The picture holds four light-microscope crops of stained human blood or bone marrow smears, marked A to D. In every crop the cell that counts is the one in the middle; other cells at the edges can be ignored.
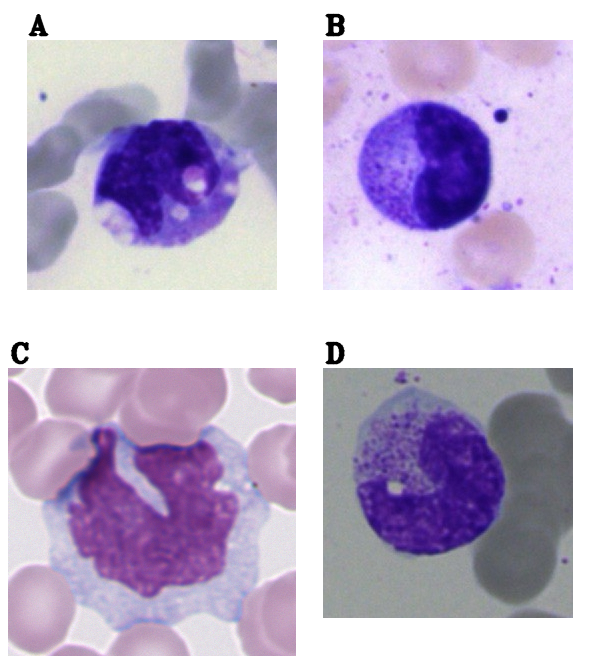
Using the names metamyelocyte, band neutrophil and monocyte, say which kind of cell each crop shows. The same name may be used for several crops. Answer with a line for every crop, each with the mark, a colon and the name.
A: monocyte
B: metamyelocyte
C: monocyte
D: band neutrophil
